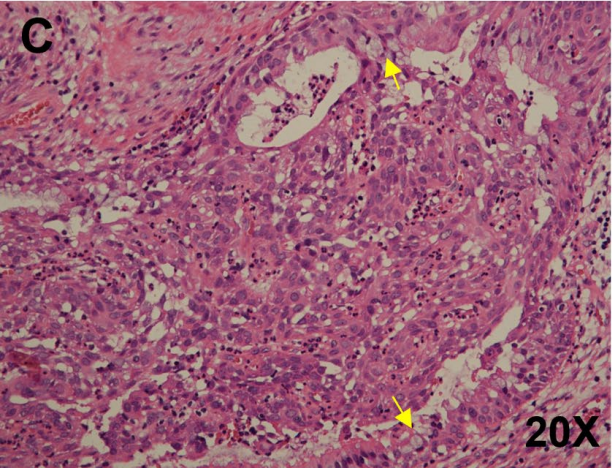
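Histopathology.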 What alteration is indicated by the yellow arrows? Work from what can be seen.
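A lumen-like space near the top arrow is lined by tumour cells. Arrowed areas show pale clear cytoplasm.
Conclusion: gland formation or mucin production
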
